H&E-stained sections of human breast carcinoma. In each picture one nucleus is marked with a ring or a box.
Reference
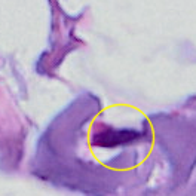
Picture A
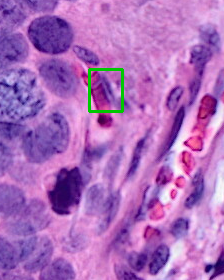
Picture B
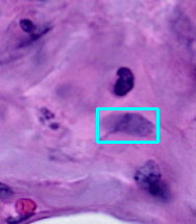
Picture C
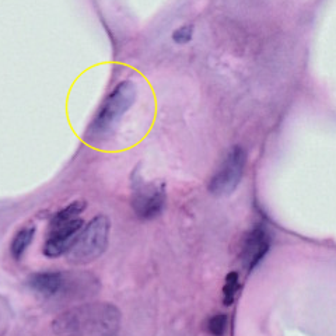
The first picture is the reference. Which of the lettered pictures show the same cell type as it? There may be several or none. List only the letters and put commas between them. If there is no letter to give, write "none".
B, C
